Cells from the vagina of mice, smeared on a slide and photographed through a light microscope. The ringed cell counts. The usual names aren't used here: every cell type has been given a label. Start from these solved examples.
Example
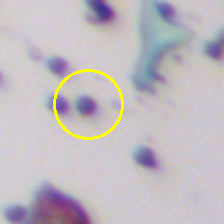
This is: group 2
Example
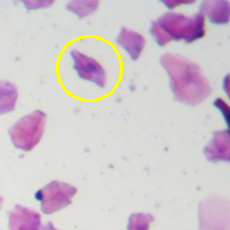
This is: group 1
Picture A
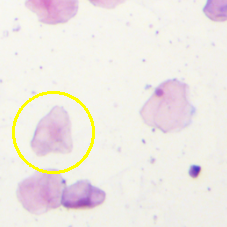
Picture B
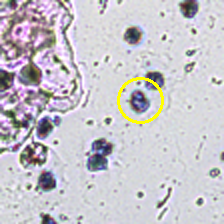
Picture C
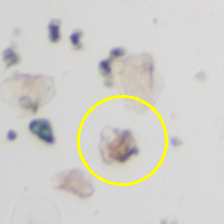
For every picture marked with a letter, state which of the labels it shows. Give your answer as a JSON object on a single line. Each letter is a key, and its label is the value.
{"A": "group 1", "B": "group 2", "C": "group 1"}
